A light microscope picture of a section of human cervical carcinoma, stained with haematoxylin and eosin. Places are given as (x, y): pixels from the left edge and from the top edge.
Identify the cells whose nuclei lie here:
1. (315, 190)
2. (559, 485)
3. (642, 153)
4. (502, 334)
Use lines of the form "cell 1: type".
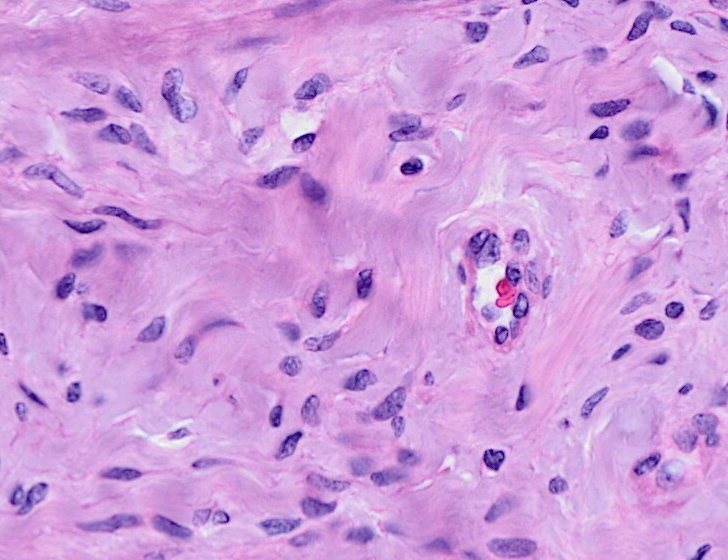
cell 1: fibroblast
cell 2: fibroblast
cell 3: fibroblast
cell 4: endothelial cell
